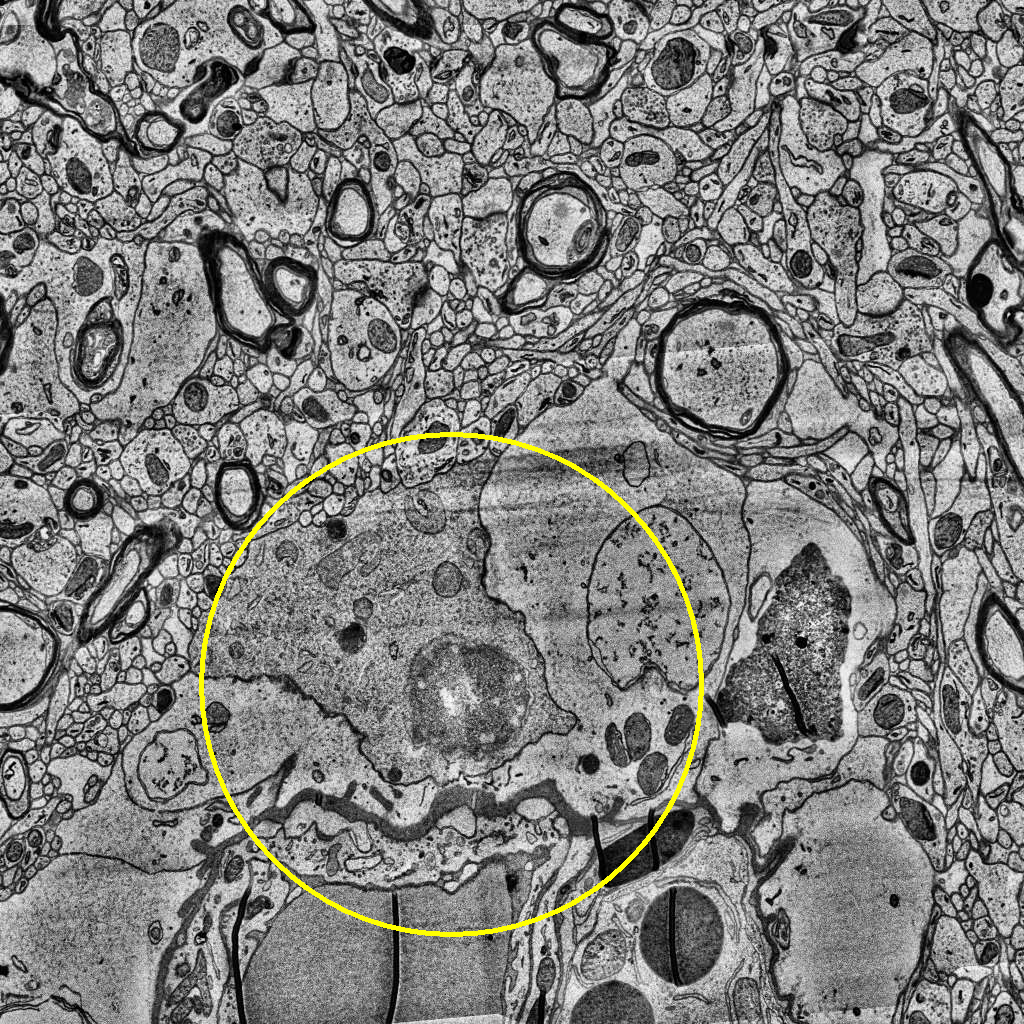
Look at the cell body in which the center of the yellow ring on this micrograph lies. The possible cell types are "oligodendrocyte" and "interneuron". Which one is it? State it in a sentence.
The cell at the middle of the ring is an oligodendrocyte.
